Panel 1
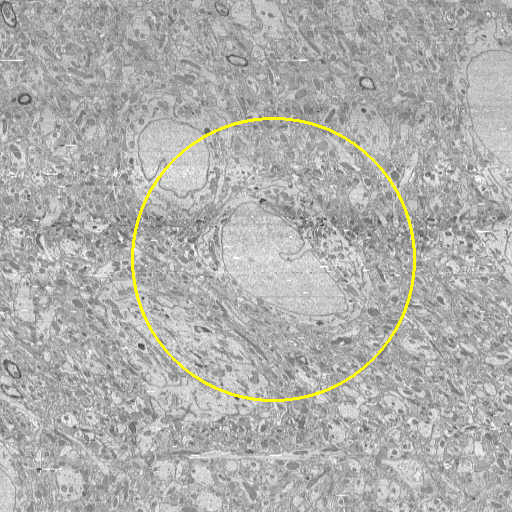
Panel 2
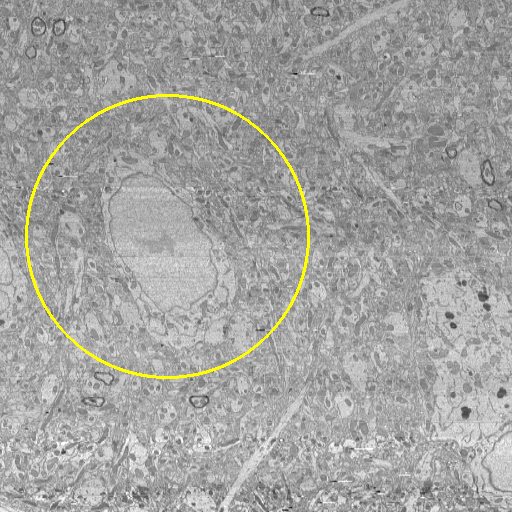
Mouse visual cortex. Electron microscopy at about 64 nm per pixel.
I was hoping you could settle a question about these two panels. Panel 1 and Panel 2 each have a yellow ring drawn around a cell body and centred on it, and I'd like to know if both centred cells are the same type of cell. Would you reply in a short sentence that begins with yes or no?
Yes, both are the same type of cell.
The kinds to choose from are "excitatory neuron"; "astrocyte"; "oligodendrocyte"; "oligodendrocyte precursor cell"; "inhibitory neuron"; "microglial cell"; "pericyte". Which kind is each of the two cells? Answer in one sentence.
Both the first and the second picture show an inhibitory neuron in the ring.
